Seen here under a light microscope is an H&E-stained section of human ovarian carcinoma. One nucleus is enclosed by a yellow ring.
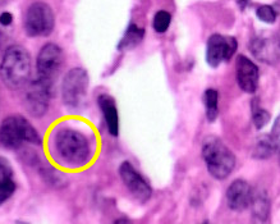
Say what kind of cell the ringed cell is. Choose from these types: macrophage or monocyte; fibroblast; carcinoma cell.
carcinoma cell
